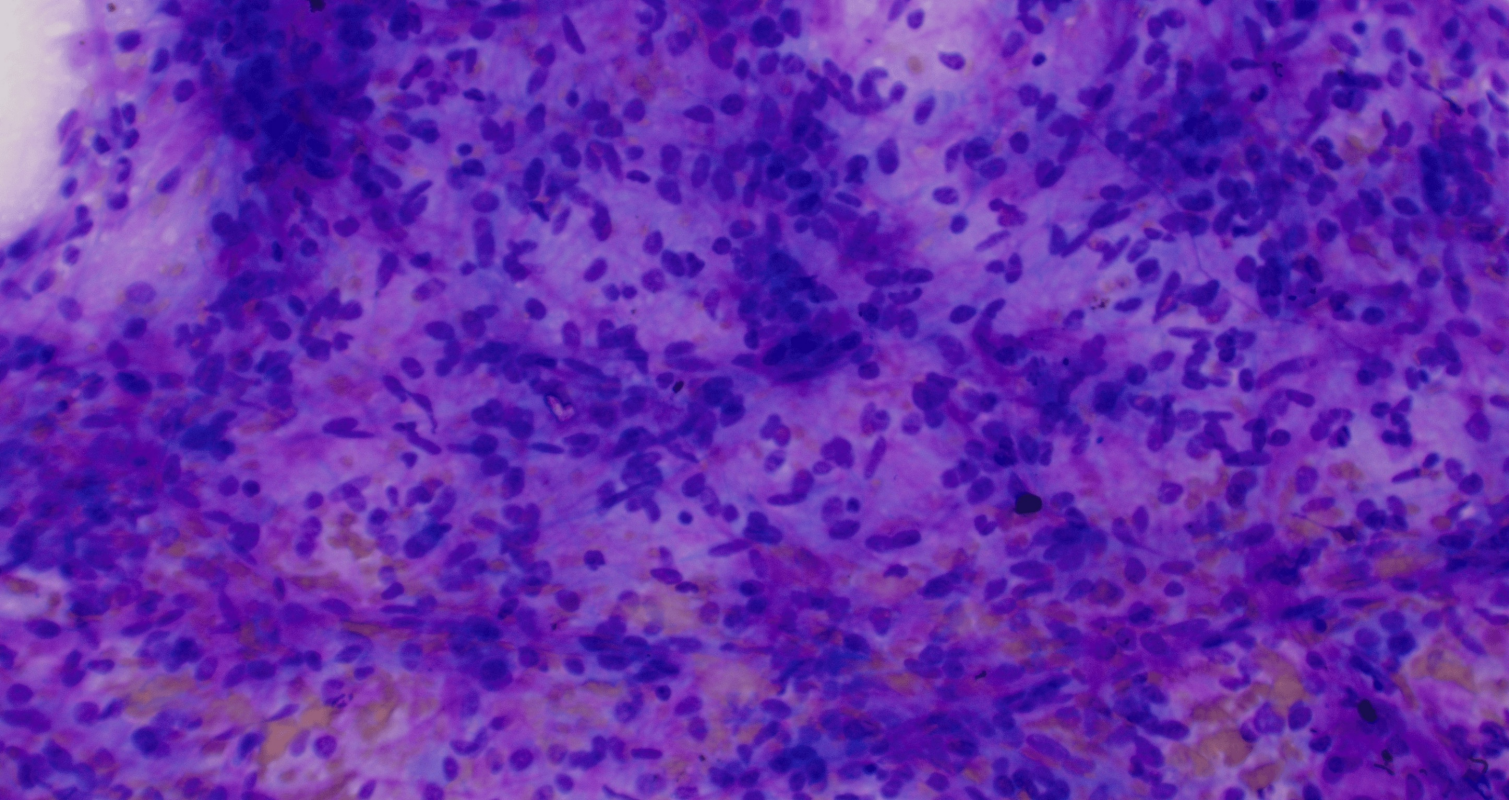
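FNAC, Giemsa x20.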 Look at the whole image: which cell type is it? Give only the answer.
mixture of spindle and epithelioid cells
